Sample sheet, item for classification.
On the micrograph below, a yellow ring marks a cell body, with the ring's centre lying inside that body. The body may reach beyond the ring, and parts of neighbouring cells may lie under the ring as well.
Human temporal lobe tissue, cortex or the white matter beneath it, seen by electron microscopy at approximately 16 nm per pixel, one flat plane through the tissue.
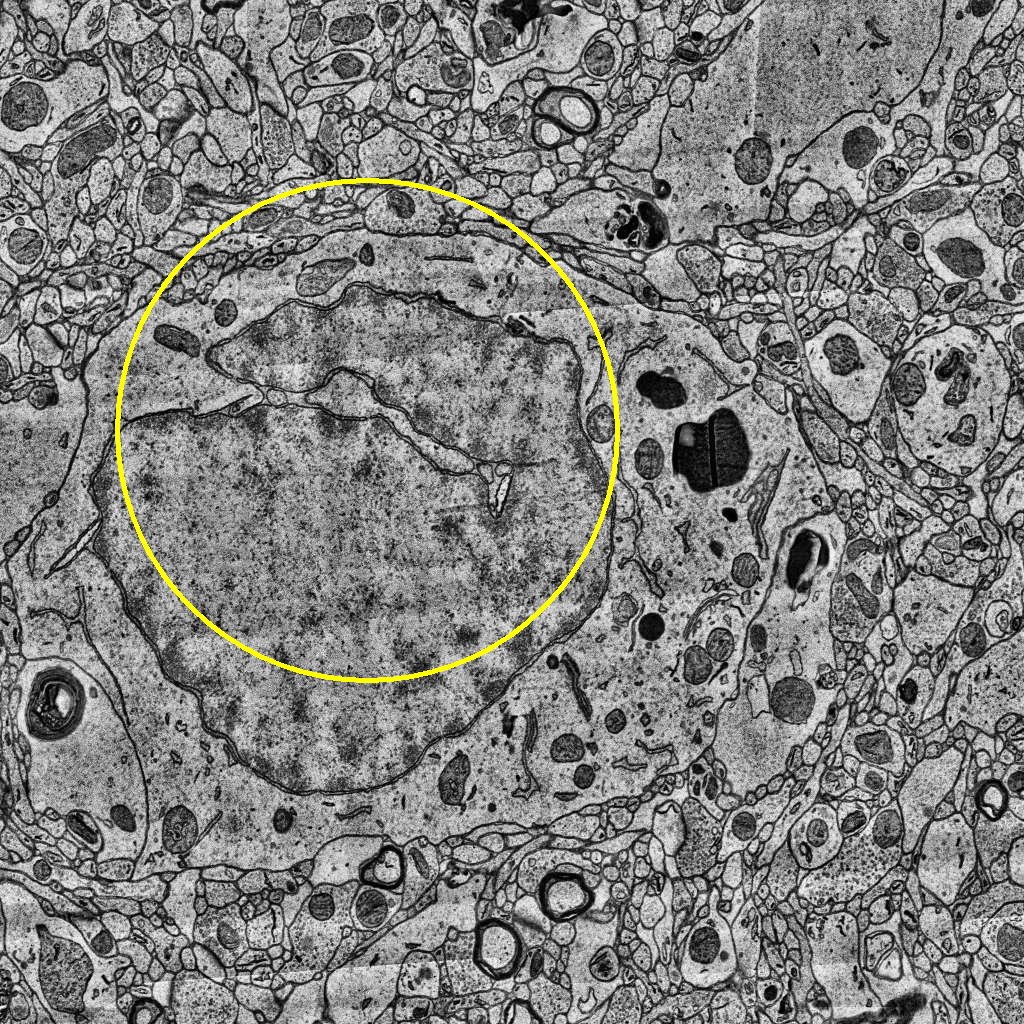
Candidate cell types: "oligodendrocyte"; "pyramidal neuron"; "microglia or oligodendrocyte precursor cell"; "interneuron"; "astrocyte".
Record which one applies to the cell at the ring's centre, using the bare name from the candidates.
interneuron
